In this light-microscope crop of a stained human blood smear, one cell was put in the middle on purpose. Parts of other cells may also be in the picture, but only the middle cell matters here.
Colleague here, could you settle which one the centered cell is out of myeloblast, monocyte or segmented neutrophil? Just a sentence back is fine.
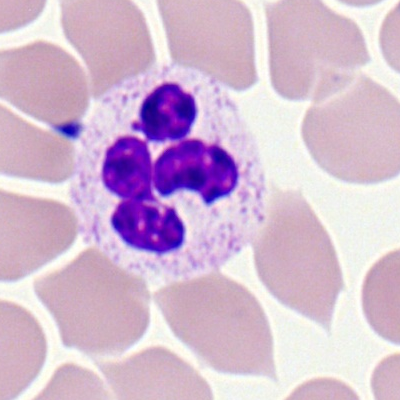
The cell at the centre of the field is a segmented neutrophil.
